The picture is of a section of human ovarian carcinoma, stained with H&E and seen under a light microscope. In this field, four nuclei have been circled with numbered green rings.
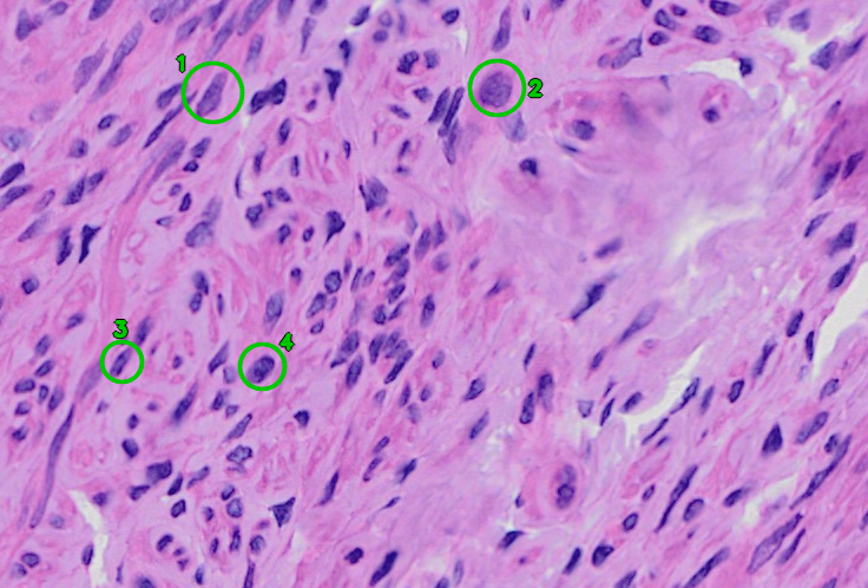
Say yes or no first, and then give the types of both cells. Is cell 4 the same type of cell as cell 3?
Yes, both are smooth muscle cells.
